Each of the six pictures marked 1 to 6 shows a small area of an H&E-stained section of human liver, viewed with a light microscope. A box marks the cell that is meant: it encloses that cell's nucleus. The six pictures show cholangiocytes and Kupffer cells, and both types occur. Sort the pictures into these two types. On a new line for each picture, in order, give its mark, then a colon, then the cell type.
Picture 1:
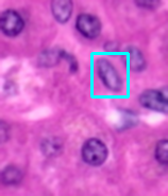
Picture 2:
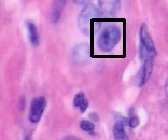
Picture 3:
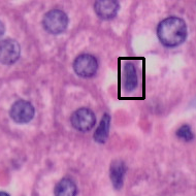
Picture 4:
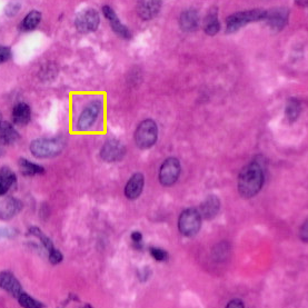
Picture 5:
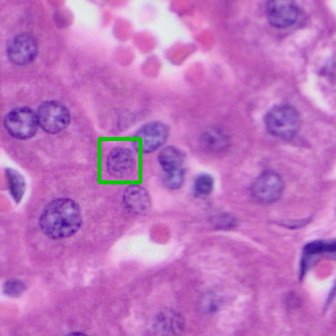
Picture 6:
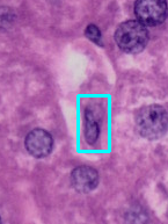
1: cholangiocyte
2: cholangiocyte
3: Kupffer cell
4: cholangiocyte
5: cholangiocyte
6: Kupffer cell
